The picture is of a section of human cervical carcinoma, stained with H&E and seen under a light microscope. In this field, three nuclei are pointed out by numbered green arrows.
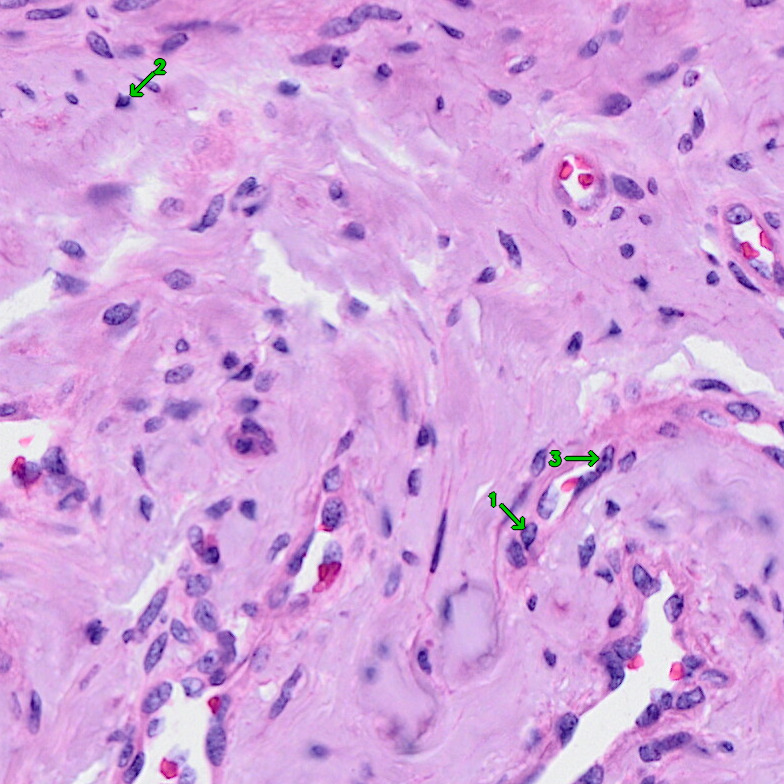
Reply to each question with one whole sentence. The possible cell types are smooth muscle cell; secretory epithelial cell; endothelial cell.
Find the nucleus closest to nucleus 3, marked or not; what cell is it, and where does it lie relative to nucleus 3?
A smooth muscle cell lies closest, to the right of nucleus 3.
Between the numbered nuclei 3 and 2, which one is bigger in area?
Of the two, number 3 is bigger and takes up about 2 times the area of number 2.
